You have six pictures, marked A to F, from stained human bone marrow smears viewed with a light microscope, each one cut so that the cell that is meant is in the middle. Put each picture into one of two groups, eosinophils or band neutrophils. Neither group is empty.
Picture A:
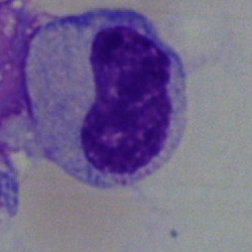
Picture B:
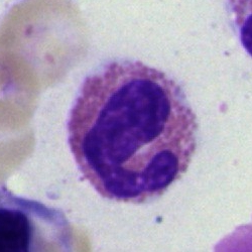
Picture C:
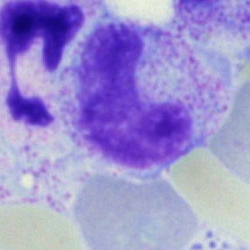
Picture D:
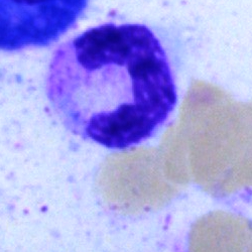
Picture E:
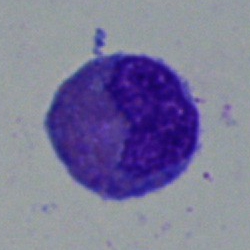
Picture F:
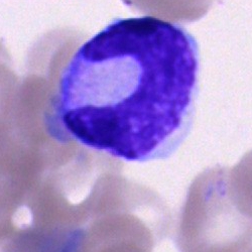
A: band neutrophil
B: eosinophil
C: band neutrophil
D: band neutrophil
E: eosinophil
F: band neutrophil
